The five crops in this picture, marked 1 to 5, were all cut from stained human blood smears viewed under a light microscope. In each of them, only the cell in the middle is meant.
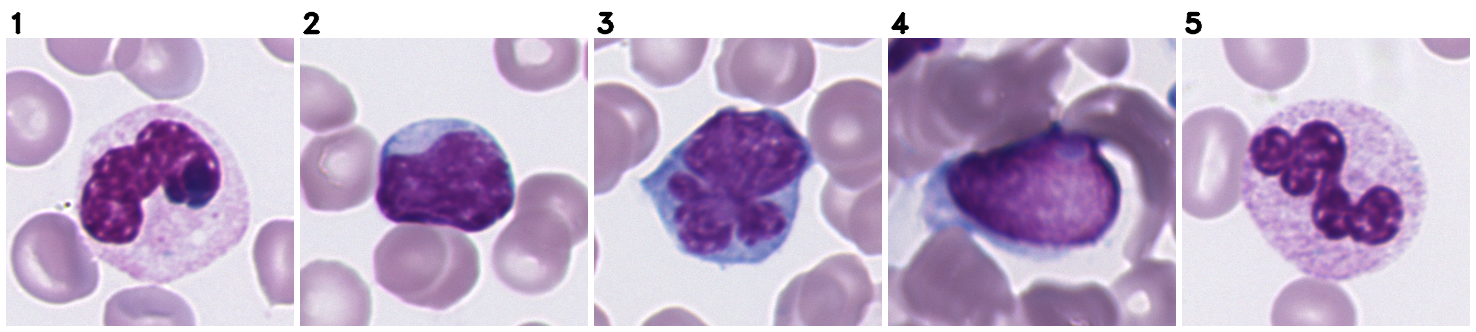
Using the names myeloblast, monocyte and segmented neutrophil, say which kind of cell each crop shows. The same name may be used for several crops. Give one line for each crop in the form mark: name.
1: segmented neutrophil
2: myeloblast
3: myeloblast
4: myeloblast
5: segmented neutrophil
